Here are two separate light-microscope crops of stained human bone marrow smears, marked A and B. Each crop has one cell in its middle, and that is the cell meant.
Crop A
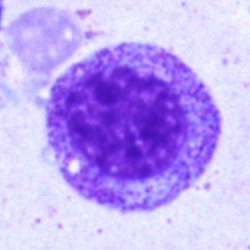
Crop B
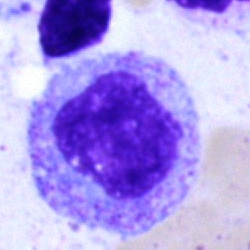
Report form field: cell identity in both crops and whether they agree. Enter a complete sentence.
Yes, both crops show myelocytes, the one and the other.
